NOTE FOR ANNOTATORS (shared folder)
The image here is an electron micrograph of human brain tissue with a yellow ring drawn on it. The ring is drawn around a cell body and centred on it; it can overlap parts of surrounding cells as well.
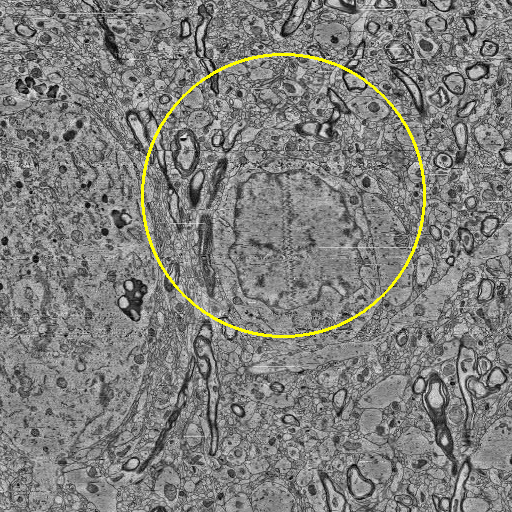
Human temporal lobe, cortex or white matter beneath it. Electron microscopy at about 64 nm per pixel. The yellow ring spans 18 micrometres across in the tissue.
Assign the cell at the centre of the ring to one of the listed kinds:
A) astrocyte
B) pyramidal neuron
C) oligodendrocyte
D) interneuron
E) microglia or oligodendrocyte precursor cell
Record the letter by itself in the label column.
D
